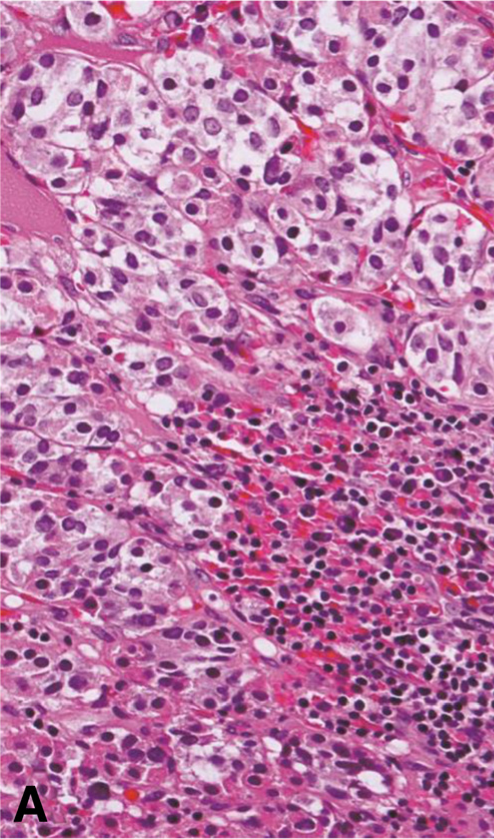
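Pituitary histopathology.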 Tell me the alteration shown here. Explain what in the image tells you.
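Small dark round cells crowd between and around nests of larger pale glandular cells. The normal nested pattern of the gland gives way to a sheet of inflammatory cells in the lower part. That points to this answer: infiltrated by lymphocytes and plasma cells.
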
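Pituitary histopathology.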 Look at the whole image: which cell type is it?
Lymphocytes and plasma cells.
